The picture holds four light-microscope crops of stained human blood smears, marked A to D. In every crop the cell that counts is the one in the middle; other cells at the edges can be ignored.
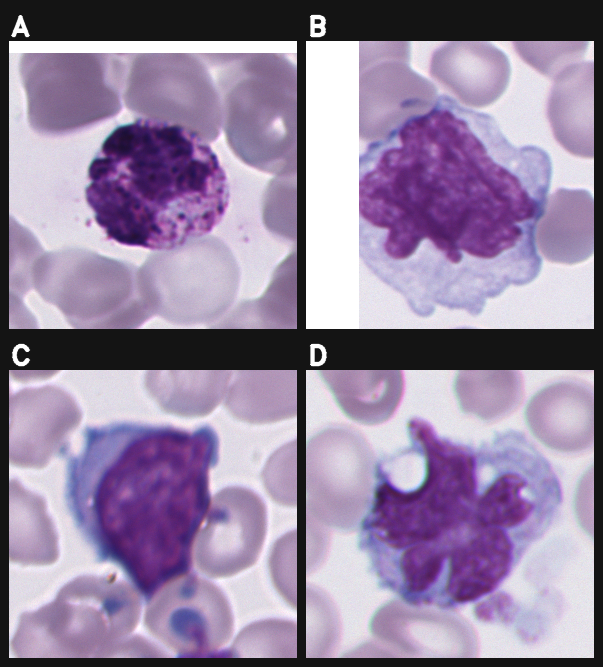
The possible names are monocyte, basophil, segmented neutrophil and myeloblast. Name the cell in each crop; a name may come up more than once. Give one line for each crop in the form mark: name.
A: basophil
B: monocyte
C: myeloblast
D: monocyte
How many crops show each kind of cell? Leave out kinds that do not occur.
monocyte: 2
basophil: 1
myeloblast: 1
